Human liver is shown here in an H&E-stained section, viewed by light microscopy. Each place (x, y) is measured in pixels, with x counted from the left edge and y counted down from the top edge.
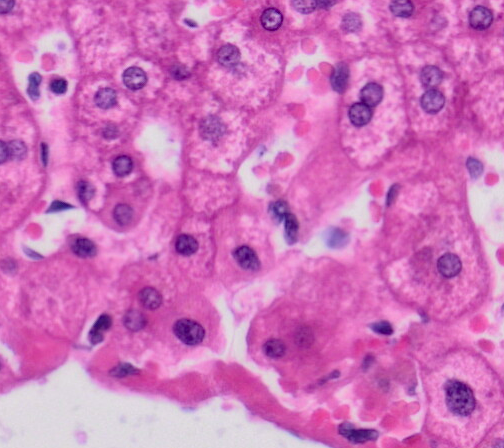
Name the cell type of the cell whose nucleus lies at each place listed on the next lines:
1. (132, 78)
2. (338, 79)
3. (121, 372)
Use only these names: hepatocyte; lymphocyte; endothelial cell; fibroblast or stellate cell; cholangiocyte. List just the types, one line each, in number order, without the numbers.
hepatocyte
endothelial cell
fibroblast or stellate cell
